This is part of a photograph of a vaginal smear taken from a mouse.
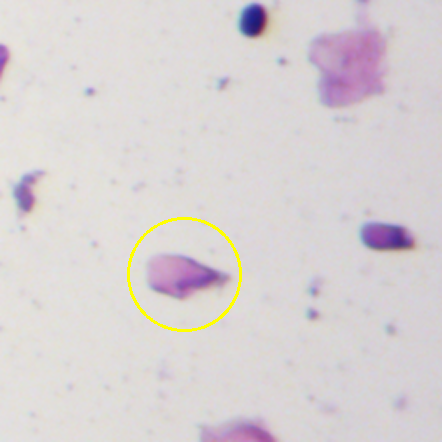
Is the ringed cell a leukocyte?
No, it is a cornified epithelial cell.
